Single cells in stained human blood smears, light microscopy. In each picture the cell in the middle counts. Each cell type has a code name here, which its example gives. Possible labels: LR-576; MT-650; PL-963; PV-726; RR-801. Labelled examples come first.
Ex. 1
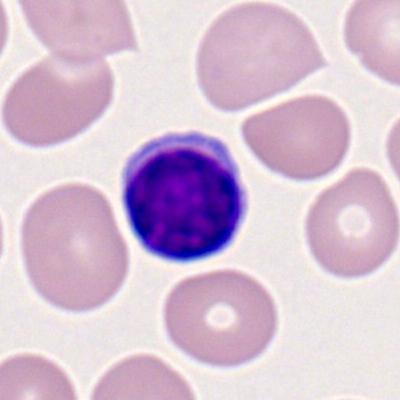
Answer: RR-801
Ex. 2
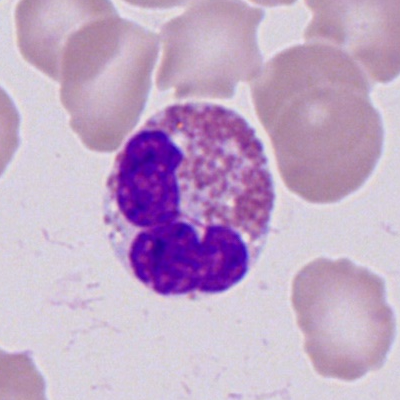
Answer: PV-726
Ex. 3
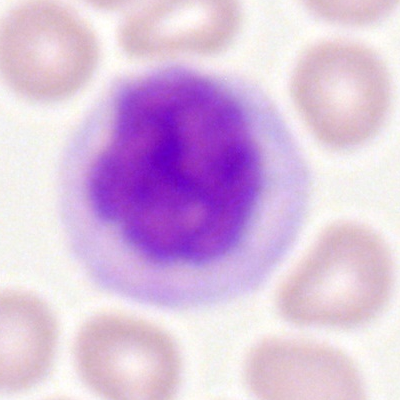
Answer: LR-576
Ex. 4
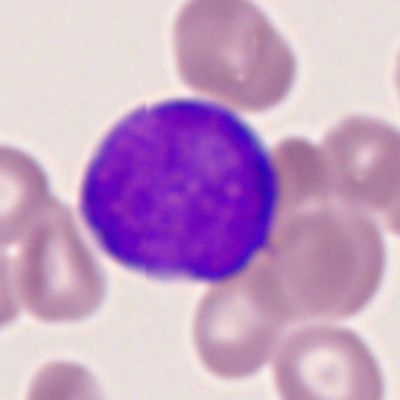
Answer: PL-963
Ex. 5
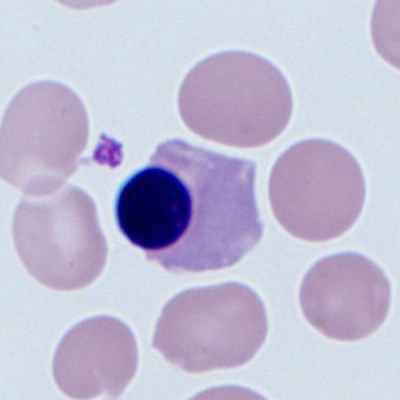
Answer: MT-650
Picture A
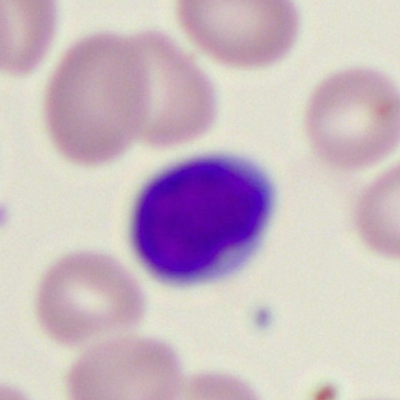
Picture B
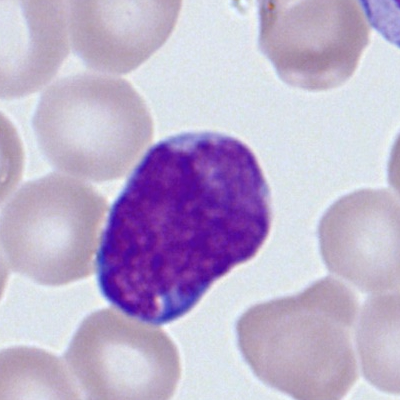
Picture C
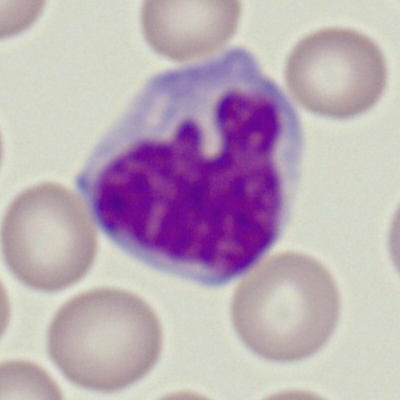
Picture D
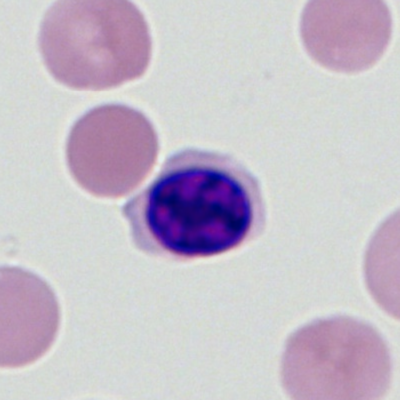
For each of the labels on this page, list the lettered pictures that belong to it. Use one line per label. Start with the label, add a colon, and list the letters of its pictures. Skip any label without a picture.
LR-576: C
MT-650: D
PL-963: B
RR-801: A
